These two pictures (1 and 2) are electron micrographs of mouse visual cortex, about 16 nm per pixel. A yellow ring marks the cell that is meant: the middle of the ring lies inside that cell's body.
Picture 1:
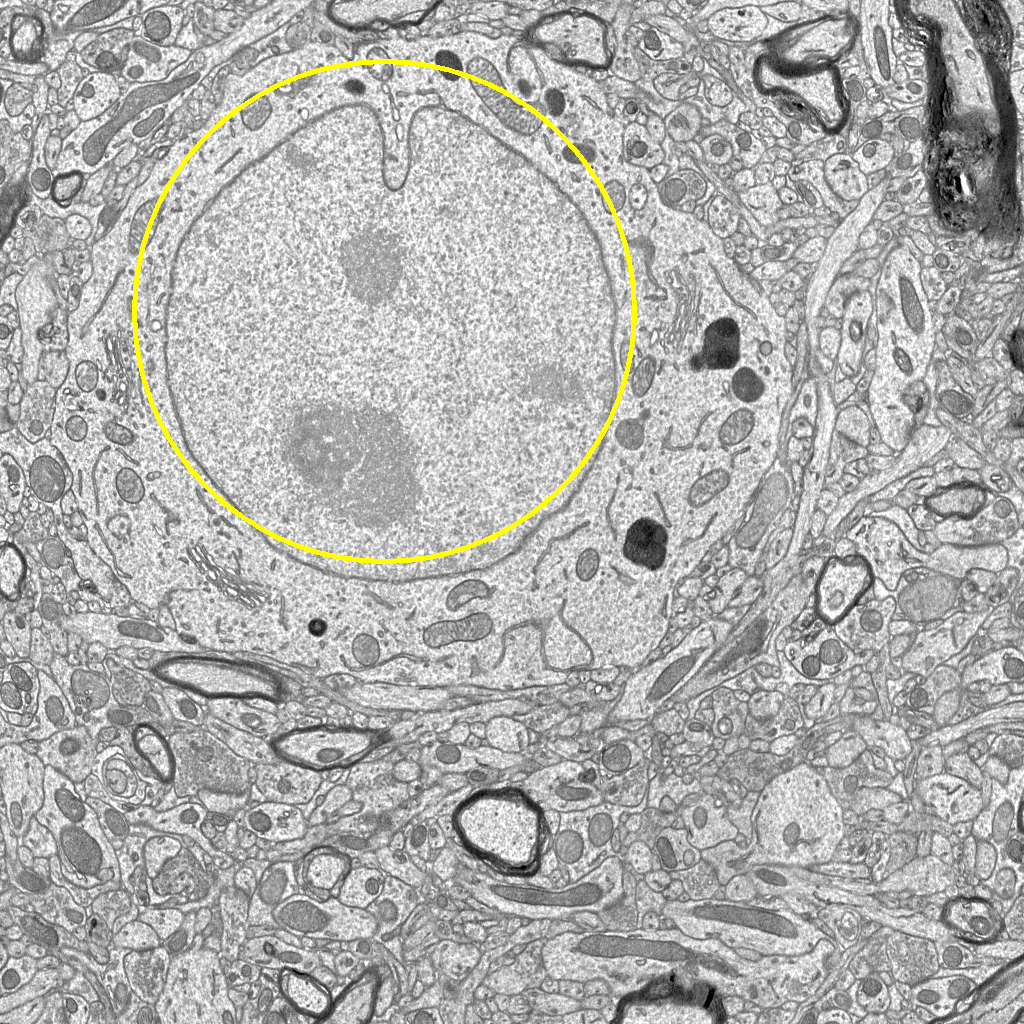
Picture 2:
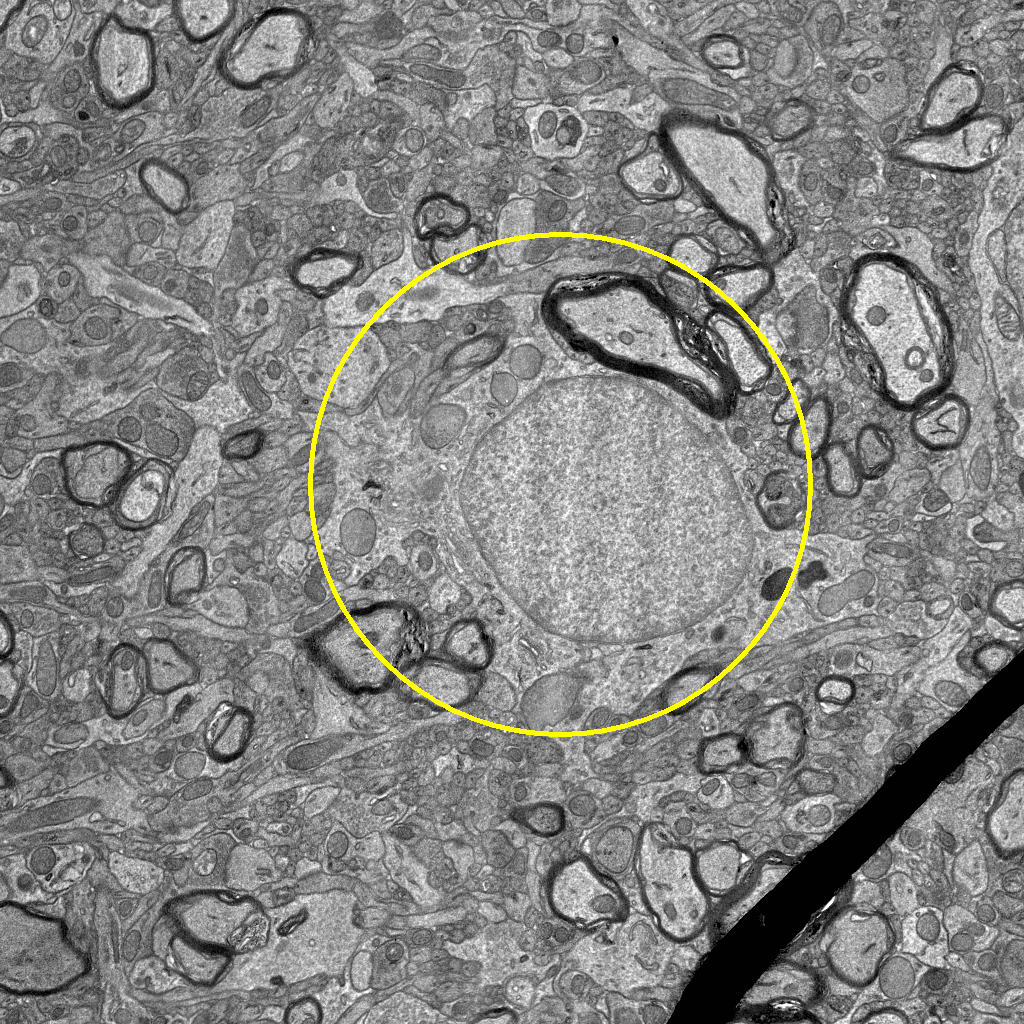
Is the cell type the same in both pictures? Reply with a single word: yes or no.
no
